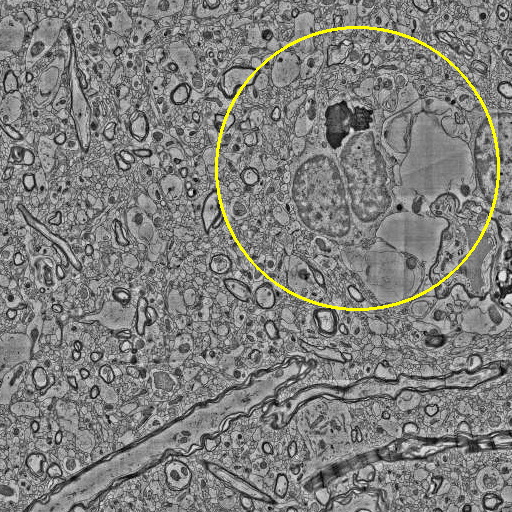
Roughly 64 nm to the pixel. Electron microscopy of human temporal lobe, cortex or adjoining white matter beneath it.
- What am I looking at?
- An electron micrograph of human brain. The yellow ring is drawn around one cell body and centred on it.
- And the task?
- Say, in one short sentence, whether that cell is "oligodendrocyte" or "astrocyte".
The cell in the middle of the ring is an oligodendrocyte.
